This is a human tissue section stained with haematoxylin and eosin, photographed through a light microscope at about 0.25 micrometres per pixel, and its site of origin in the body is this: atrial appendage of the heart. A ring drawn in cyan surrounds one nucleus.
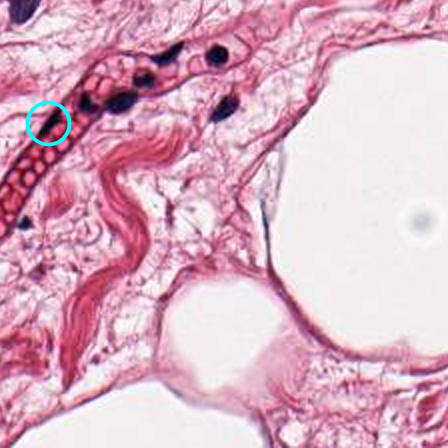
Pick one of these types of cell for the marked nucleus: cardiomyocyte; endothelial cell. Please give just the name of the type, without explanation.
endothelial cell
